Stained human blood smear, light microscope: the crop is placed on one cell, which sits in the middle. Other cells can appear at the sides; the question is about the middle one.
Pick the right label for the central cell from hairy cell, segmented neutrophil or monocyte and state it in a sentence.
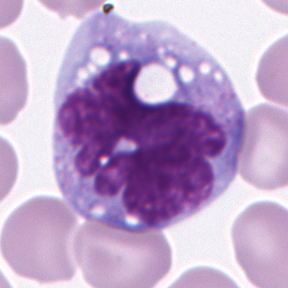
In the crop, the cell of interest at the centre is a monocyte.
